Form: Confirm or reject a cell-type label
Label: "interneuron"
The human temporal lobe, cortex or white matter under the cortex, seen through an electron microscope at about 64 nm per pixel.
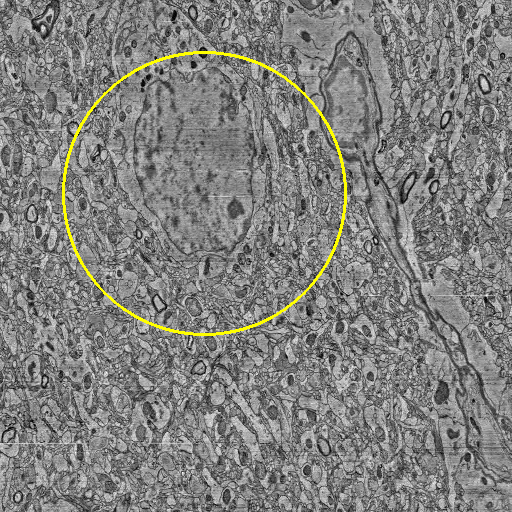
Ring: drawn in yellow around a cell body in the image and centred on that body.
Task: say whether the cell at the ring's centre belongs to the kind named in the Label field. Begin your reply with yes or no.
Yes, it belongs to that kind.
